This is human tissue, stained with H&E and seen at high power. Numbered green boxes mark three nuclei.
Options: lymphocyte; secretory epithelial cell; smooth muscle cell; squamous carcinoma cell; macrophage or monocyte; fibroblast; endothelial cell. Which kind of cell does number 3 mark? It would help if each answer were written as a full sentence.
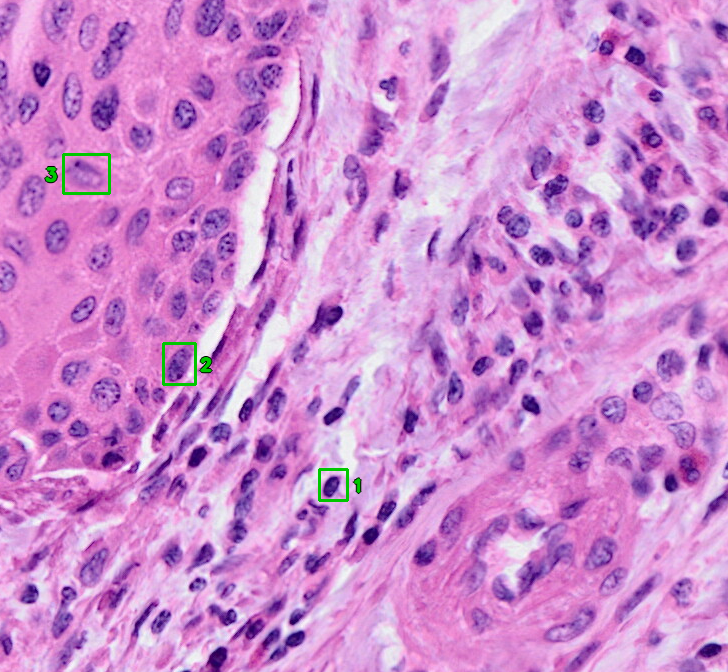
Here the cell numbered 3 is a squamous carcinoma cell.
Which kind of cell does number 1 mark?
At number 1, the marked cell is a lymphocyte.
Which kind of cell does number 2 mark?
Classified as a squamous carcinoma cell is the cell with the number 2.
